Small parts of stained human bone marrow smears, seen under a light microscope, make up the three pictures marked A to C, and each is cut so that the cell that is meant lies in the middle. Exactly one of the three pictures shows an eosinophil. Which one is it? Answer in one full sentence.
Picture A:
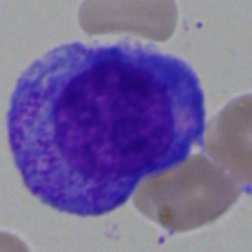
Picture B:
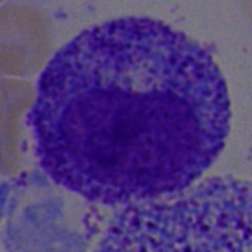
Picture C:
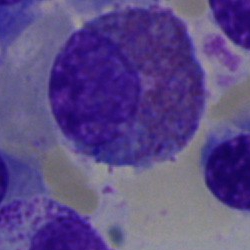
Picture C shows the eosinophil.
